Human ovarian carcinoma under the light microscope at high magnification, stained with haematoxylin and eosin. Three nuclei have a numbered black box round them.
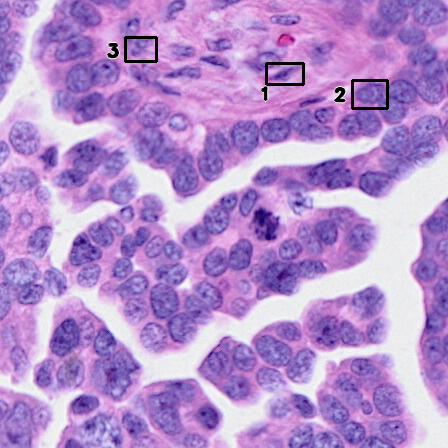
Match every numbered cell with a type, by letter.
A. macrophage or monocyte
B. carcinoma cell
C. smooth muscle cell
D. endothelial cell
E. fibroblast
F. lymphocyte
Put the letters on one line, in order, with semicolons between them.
E; B; E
